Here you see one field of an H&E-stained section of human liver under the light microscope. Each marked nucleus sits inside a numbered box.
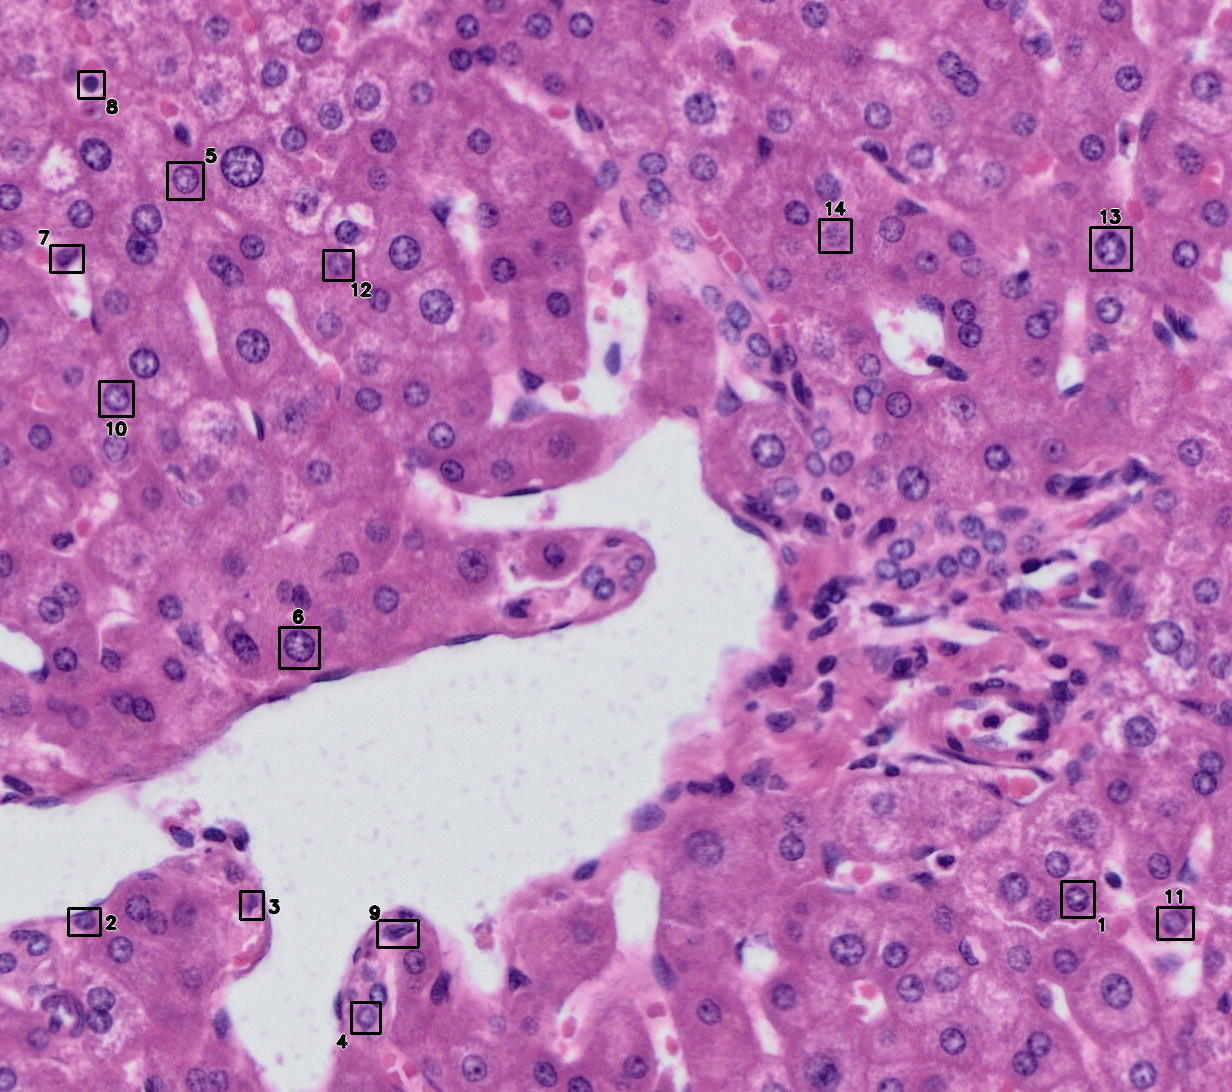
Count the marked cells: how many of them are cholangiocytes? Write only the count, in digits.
1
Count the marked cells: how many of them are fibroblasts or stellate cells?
3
